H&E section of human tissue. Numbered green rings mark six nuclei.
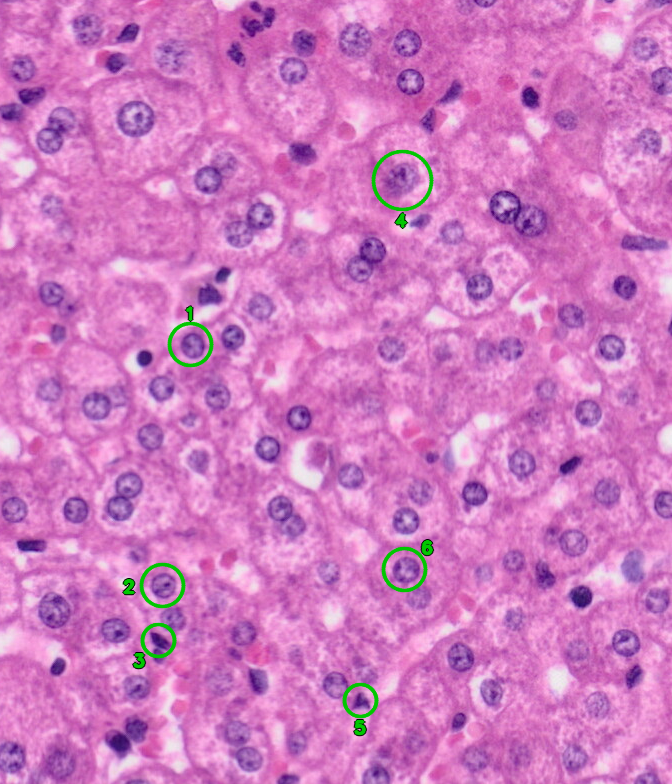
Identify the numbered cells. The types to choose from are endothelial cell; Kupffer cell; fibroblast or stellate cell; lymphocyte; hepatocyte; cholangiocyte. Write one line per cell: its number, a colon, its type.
1: hepatocyte
2: hepatocyte
3: fibroblast or stellate cell
4: hepatocyte
5: endothelial cell
6: hepatocyte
